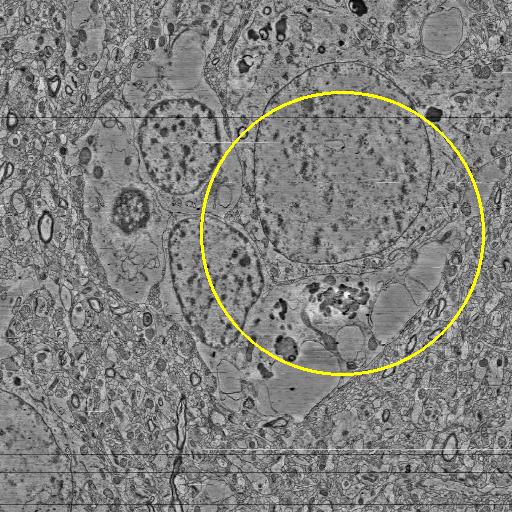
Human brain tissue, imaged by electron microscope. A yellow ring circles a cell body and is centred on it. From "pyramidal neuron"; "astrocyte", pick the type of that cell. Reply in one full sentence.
The cell body at the centre of the yellow ring belongs to a pyramidal neuron.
